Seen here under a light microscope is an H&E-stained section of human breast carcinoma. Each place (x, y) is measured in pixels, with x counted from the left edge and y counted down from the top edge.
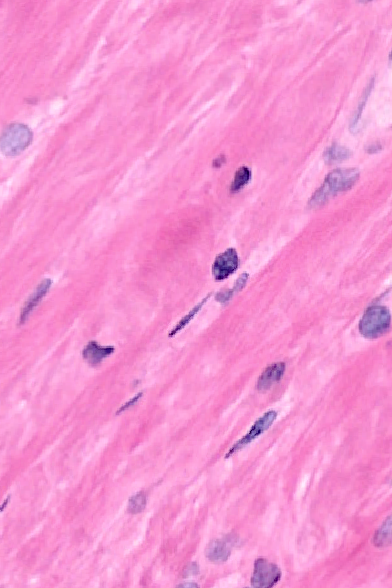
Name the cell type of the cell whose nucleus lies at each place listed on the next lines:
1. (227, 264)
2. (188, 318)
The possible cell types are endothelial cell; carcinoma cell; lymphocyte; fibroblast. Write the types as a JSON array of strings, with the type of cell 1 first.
["lymphocyte", "fibroblast"]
